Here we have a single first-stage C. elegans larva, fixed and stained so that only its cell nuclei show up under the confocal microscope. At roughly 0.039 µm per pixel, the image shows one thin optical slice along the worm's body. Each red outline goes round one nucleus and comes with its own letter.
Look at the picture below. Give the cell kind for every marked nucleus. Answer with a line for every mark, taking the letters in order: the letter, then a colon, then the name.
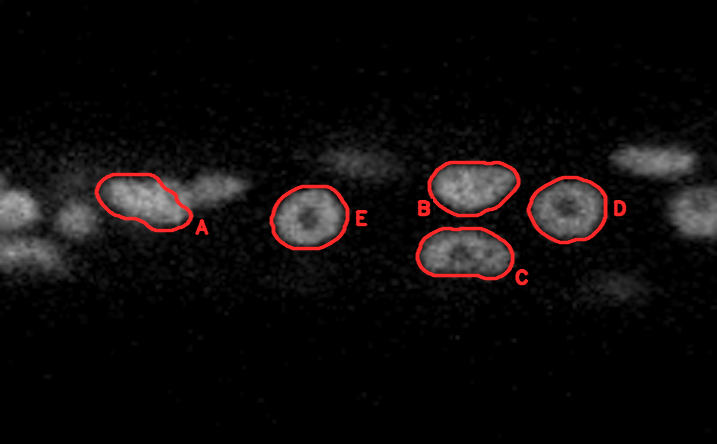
A: P cell (ventral epidermal blast cell)
B: P cell (ventral epidermal blast cell)
C: hypodermal cell (hyp)
D: seam cell
E: seam cell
